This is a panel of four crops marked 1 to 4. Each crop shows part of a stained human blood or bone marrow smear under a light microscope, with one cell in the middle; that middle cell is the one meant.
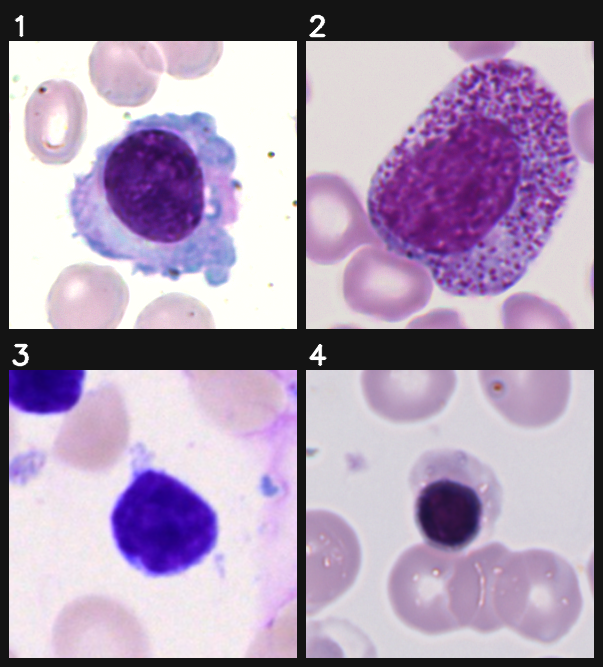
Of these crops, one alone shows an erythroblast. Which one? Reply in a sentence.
Crop 4 is the one in the set with an erythroblast at the center.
